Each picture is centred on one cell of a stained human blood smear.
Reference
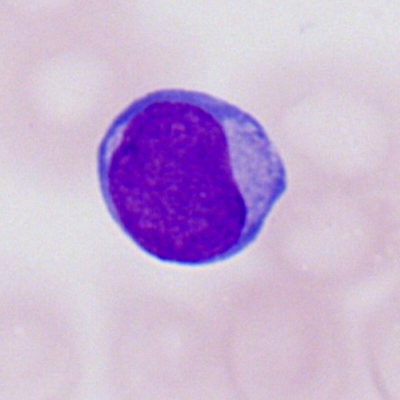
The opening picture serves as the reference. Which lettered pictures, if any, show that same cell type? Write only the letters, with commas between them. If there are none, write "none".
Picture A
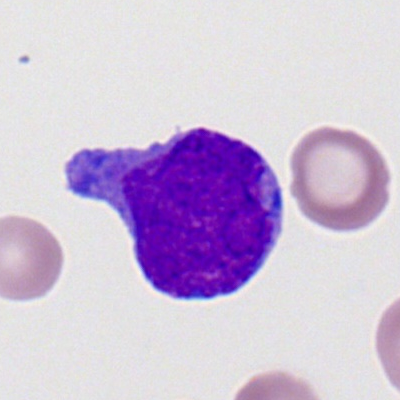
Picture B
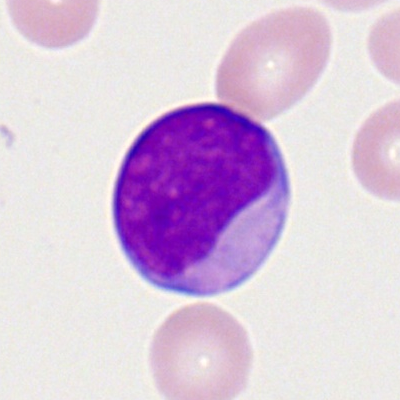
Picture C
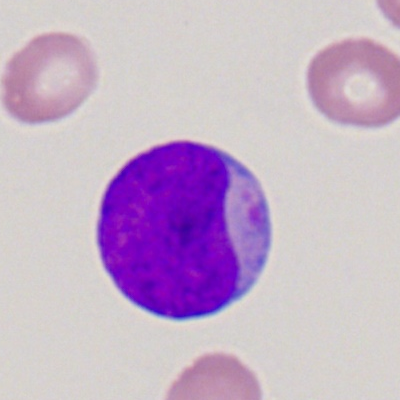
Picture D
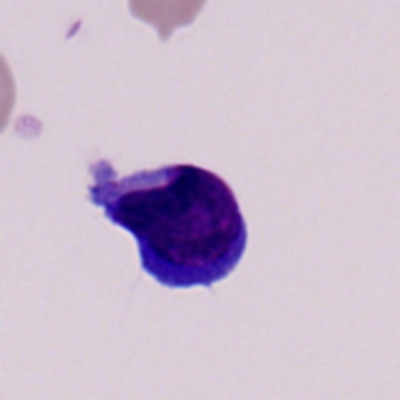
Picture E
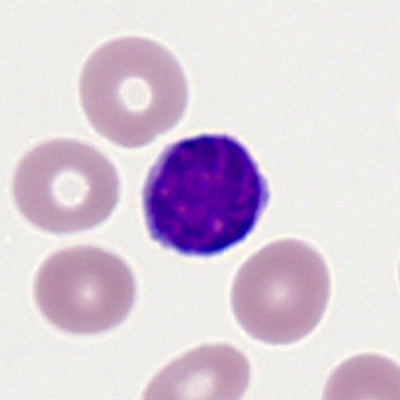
A, B, C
